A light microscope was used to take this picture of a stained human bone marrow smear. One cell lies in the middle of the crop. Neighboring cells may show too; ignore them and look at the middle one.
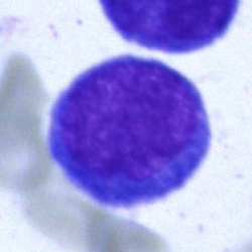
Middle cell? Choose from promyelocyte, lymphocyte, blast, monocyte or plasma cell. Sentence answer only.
This particular crop is centered on a blast.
